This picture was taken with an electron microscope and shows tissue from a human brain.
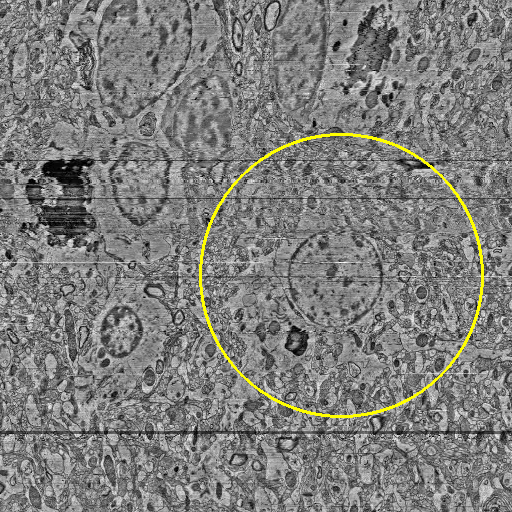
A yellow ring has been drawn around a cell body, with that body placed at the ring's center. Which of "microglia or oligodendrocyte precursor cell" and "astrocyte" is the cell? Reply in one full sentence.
In this picture, an astrocyte is the cell at the center of the yellow ring.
